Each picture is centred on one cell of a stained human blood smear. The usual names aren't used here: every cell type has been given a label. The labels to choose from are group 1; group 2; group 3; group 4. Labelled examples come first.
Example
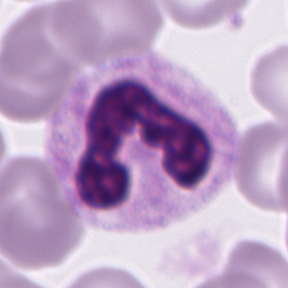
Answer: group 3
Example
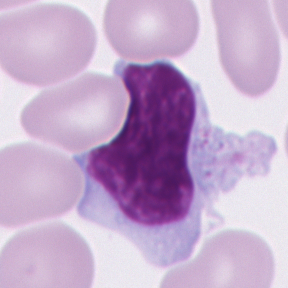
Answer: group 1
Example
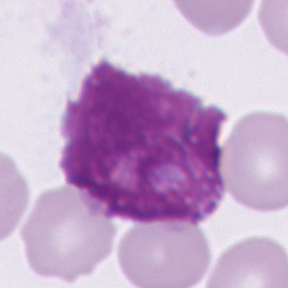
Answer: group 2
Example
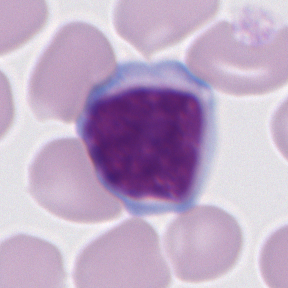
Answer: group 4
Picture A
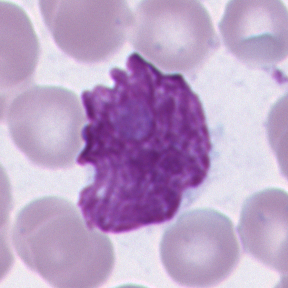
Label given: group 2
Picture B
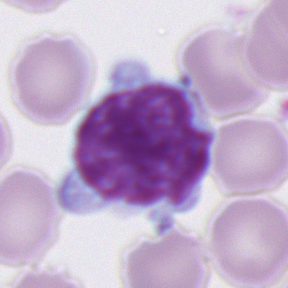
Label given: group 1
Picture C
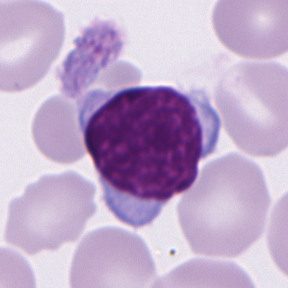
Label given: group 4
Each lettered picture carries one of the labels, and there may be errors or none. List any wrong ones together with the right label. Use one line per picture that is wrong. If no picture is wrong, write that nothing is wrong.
B: group 4, not group 1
